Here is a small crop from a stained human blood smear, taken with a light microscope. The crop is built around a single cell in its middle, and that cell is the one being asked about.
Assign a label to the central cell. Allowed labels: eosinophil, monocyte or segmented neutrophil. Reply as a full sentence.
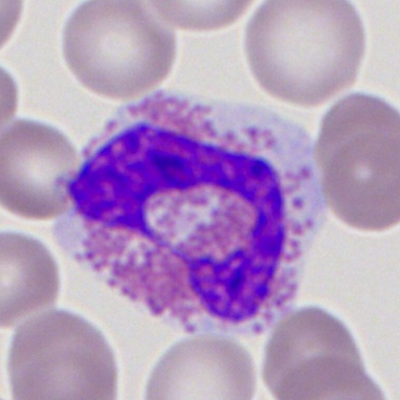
The cell featured at the centre of this crop is an eosinophil.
